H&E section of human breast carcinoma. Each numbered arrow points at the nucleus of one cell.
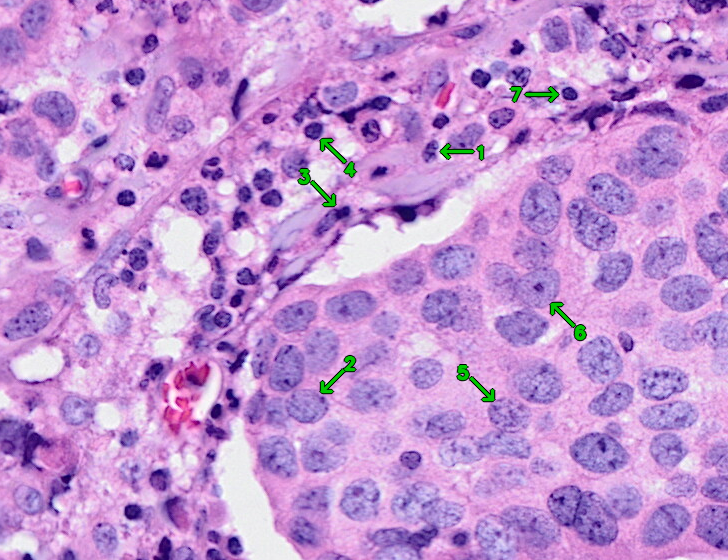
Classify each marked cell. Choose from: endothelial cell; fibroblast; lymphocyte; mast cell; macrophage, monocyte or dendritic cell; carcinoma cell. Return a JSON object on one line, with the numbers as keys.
{"1": "lymphocyte", "2": "carcinoma cell", "3": "lymphocyte", "4": "lymphocyte", "5": "carcinoma cell", "6": "carcinoma cell", "7": "lymphocyte"}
